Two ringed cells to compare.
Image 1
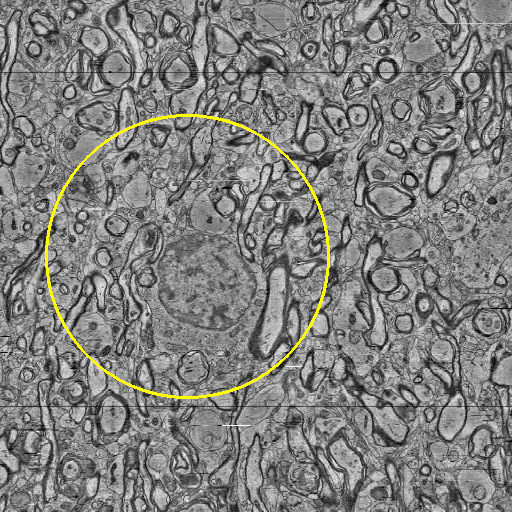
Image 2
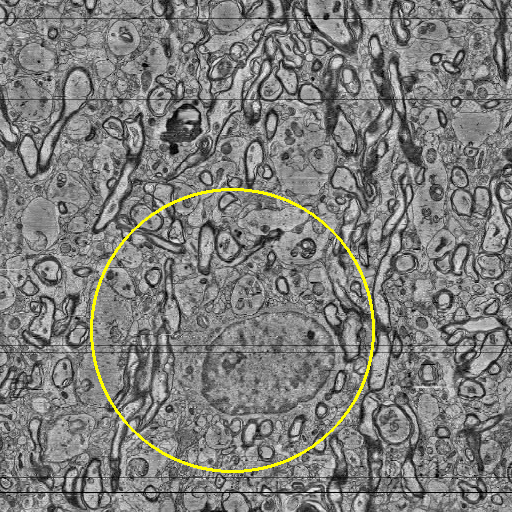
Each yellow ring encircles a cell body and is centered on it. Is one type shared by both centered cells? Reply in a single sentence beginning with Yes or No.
Yes, a single type is shared by the two cells at the centers of the rings.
